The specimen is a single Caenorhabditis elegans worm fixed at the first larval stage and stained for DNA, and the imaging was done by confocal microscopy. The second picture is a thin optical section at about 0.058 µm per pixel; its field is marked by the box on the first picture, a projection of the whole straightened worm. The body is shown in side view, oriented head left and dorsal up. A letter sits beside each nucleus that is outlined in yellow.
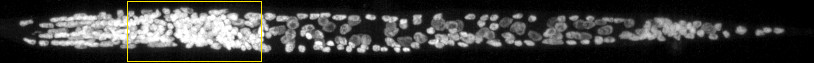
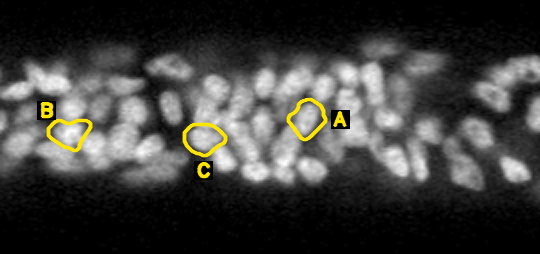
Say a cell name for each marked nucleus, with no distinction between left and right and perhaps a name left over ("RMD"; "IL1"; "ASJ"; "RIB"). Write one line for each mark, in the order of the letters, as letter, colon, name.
A: RIB
B: IL1
C: RMD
